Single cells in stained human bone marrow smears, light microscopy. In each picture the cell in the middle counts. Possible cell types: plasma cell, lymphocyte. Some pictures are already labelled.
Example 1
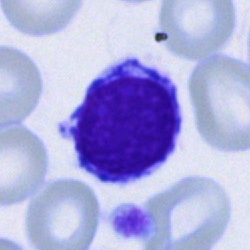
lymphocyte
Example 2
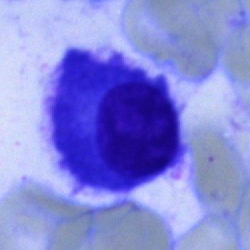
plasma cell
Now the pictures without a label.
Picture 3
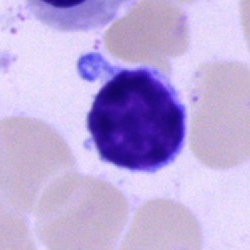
lymphocyte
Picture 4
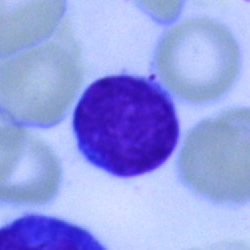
lymphocyte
